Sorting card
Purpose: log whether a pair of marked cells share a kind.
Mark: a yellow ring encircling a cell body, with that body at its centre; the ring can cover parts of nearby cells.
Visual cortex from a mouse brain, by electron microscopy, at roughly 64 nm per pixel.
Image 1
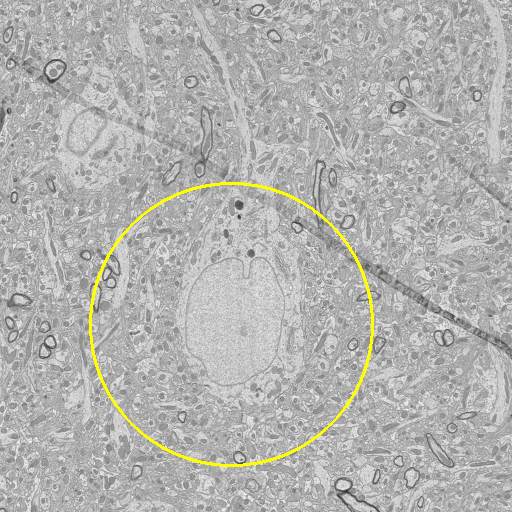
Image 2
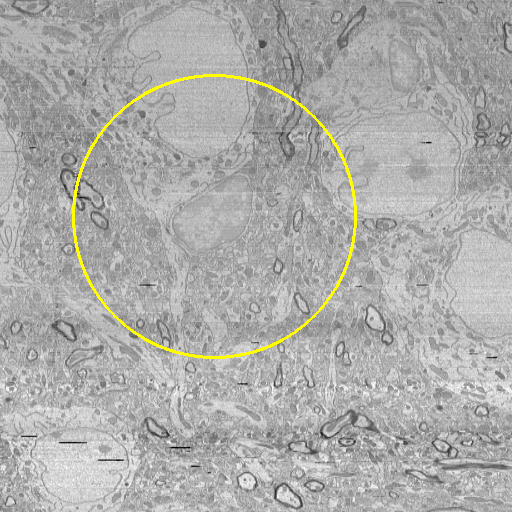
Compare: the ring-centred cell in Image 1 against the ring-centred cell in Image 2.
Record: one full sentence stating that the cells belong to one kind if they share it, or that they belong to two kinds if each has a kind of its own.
Across Images 1 and 2, the two ring-centred cells belong to two kinds.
